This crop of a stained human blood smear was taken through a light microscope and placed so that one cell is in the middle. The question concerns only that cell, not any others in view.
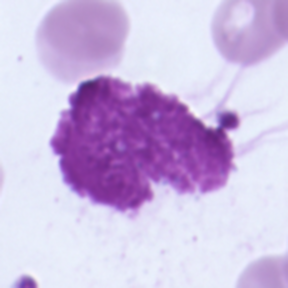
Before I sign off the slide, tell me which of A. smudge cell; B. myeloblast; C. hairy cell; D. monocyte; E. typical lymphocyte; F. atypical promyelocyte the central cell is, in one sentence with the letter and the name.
The central cell of the crop is a smudge cell, which makes A the correct option.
